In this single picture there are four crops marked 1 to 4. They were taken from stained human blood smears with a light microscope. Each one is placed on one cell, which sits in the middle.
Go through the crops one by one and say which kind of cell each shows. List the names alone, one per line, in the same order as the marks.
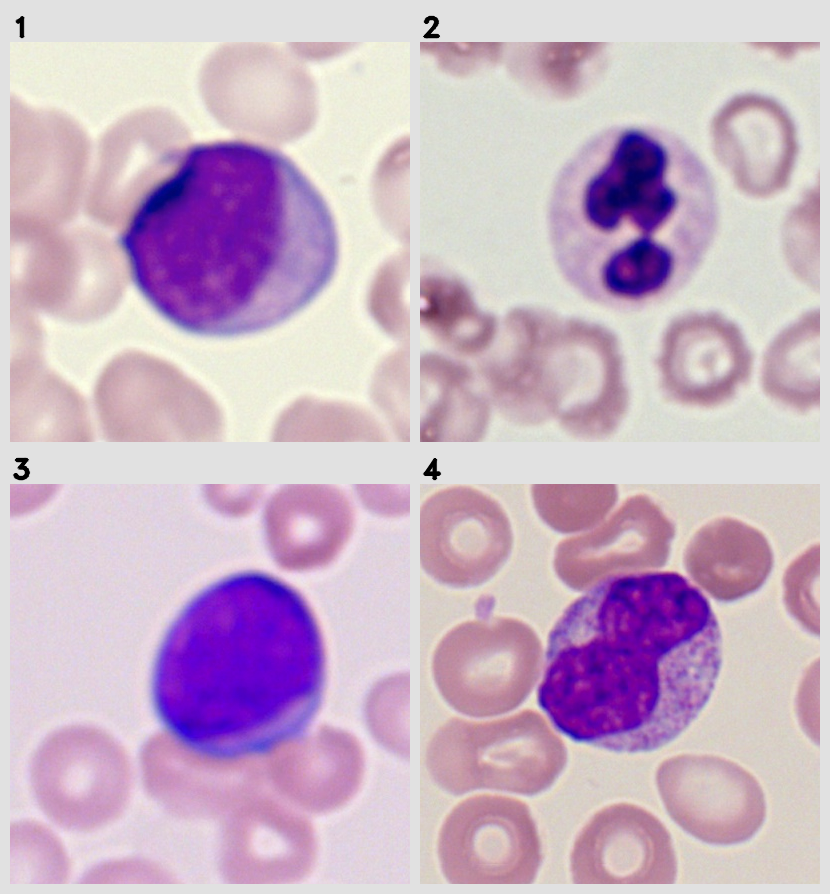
myeloblast
segmented neutrophil
myeloblast
monocyte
